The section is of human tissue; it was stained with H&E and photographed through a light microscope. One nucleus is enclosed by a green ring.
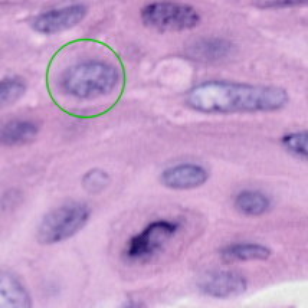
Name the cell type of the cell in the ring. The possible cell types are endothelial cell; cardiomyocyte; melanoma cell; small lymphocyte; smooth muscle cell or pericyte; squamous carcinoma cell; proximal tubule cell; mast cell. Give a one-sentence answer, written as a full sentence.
As far as its identity is concerned, the cell in the ring is a squamous carcinoma cell.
